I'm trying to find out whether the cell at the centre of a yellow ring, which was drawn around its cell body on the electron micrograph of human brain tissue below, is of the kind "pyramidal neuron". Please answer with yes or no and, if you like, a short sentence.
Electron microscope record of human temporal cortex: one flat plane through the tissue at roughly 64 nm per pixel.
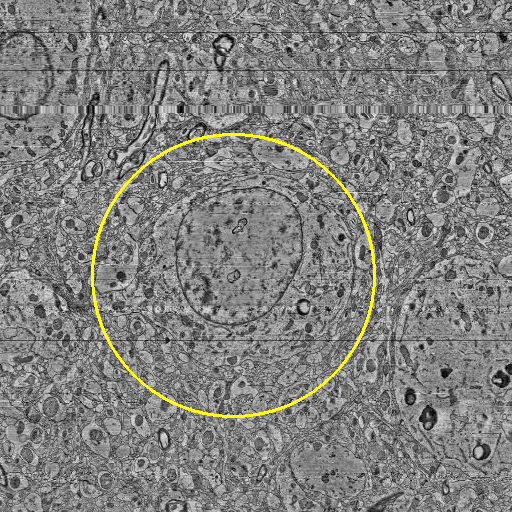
Yes, that cell is of the given kind.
